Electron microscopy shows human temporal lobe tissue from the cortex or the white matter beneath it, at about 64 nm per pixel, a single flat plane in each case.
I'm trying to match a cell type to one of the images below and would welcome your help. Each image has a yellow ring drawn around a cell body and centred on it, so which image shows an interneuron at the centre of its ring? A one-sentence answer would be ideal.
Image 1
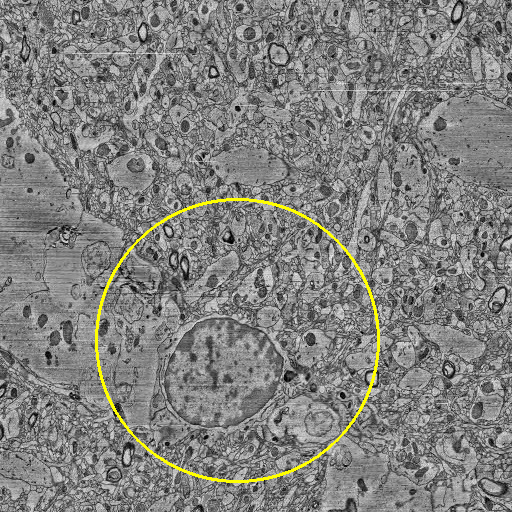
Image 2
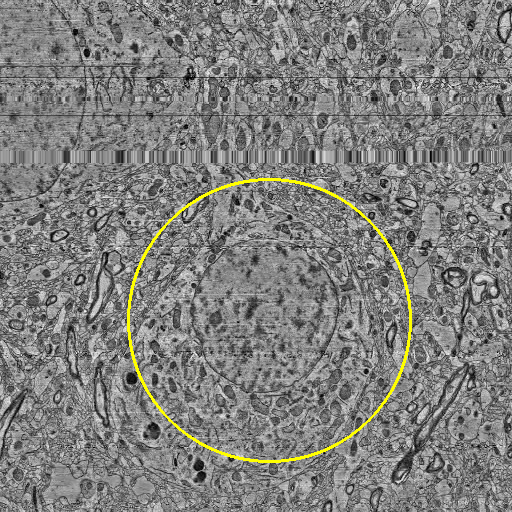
Image 2 shows it at the centre of the ring.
